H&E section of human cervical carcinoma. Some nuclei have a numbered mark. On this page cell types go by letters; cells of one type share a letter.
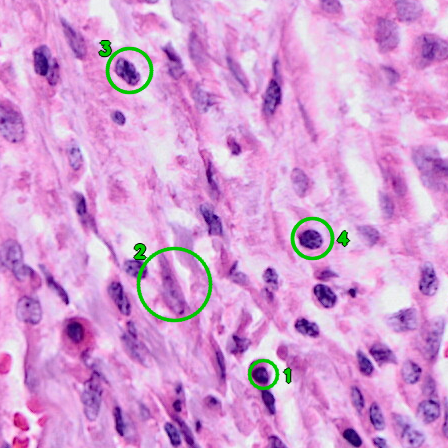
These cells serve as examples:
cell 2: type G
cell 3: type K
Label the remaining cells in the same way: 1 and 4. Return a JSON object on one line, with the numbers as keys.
{"1": "type K", "4": "type K"}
